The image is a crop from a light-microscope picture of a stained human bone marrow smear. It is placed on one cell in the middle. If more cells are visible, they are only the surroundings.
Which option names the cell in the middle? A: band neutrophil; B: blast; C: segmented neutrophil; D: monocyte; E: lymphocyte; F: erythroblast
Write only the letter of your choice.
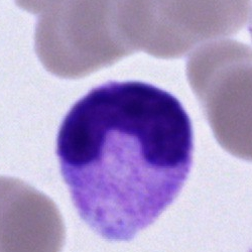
A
